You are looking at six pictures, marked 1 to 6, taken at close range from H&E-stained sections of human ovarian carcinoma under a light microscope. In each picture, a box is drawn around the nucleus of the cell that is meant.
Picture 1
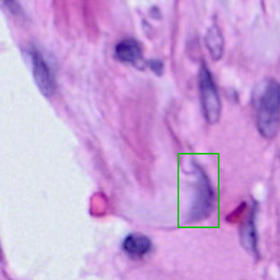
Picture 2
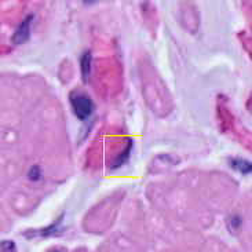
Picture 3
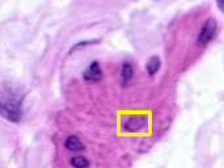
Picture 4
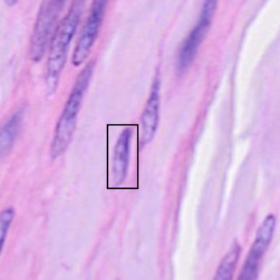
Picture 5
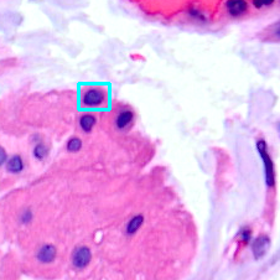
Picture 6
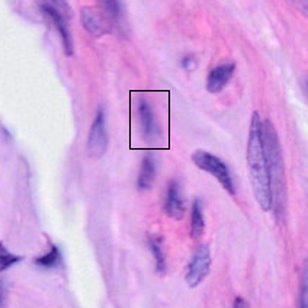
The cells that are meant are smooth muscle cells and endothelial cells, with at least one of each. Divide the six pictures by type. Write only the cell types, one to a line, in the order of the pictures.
endothelial cell
endothelial cell
smooth muscle cell
smooth muscle cell
smooth muscle cell
smooth muscle cell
